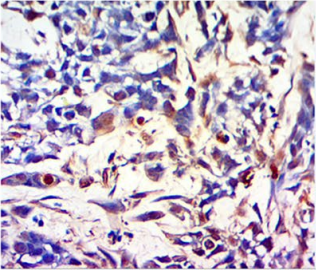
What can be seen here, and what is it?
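Tumor tissue of loosely arranged spindle-shaped and polygonal cells lies in a pale, open stroma, most with ovoid blue nuclei. Scattered among them are cells whose nuclei are small, round and stained dense dark brown.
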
